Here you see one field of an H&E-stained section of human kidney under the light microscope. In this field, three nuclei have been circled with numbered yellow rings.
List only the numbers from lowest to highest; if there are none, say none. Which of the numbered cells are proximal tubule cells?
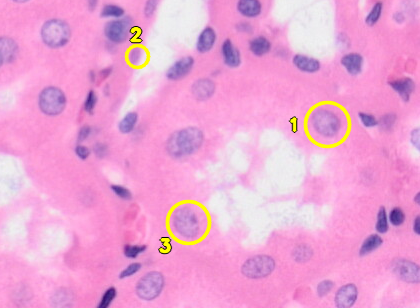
1, 3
